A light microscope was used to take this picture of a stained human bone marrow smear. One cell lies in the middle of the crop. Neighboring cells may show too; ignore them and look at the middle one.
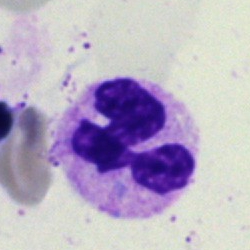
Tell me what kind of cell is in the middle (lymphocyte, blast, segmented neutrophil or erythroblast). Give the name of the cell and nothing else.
segmented neutrophil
